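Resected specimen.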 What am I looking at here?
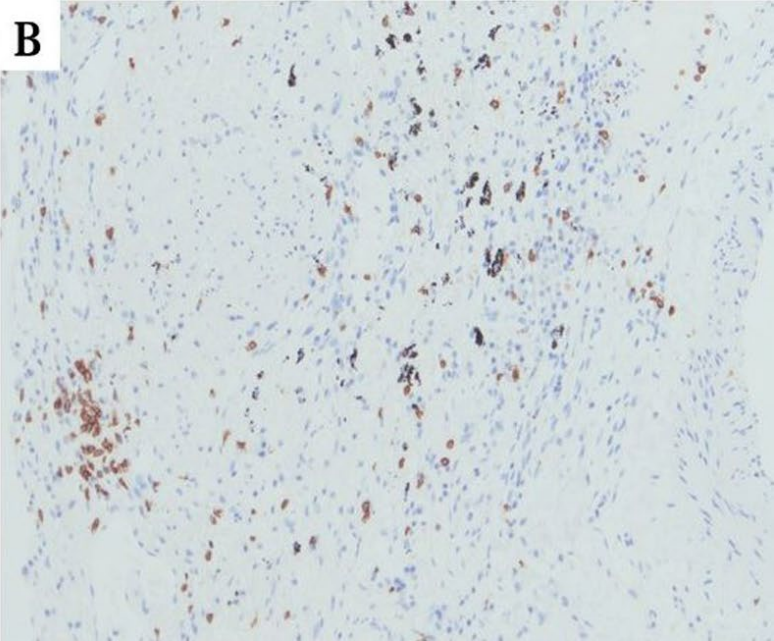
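The stroma is made of spindle-shaped cells with elongated blue nuclei running in loose streams. The brown cells lie mostly singly, with a small cluster of them toward the left. Clumps of black pigment are scattered among them.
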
